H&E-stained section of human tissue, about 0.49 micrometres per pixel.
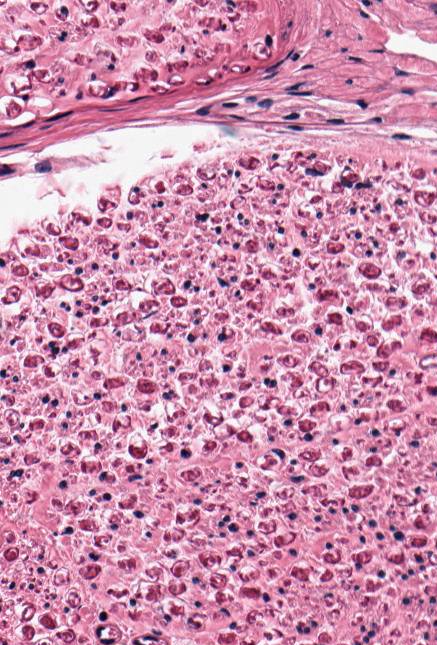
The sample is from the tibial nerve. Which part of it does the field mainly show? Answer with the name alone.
nerve fascicle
